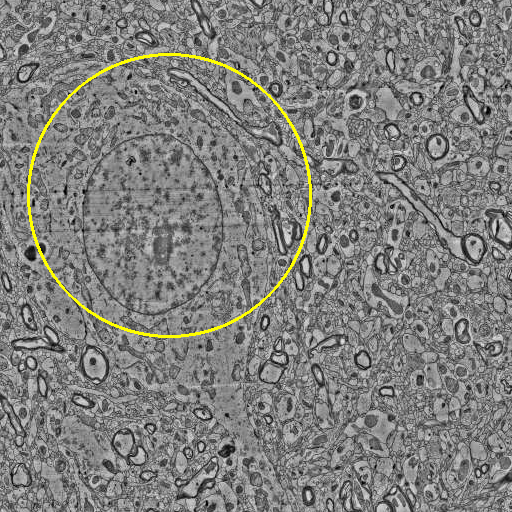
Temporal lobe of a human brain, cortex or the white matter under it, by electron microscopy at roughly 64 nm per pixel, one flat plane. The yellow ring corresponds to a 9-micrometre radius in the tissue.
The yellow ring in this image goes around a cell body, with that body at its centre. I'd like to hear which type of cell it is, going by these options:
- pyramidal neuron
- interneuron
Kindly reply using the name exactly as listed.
interneuron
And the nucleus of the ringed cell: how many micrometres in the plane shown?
In this plane, approximately 12 by 9 micrometers.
